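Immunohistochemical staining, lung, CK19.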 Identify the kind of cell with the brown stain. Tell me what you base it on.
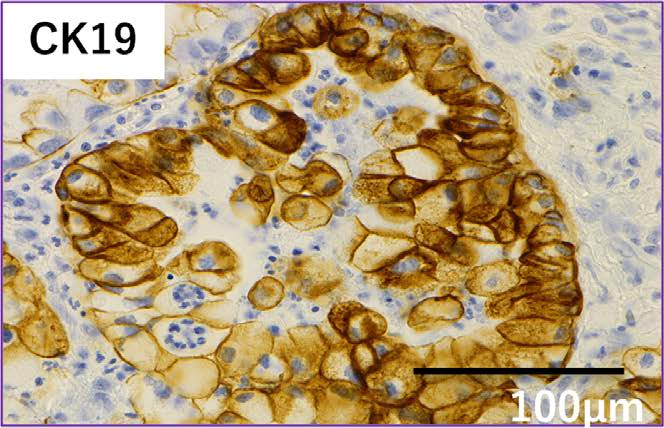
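Large columnar and rounded epithelial cells form a gland-like structure. The brown stain outlines the cell membranes and fills cytoplasm. Surrounding stroma with small blue nuclei is unstained. On this evidence: tumor cells.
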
